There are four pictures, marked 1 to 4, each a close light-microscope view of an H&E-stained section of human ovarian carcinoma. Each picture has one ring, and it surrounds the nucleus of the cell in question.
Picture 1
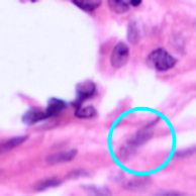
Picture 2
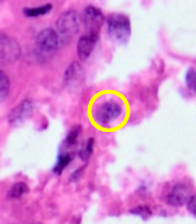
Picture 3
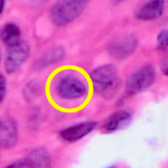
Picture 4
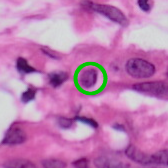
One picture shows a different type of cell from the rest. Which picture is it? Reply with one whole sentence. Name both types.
The others show “macrophages or monocytes”, but picture 1 shows a fibroblast.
